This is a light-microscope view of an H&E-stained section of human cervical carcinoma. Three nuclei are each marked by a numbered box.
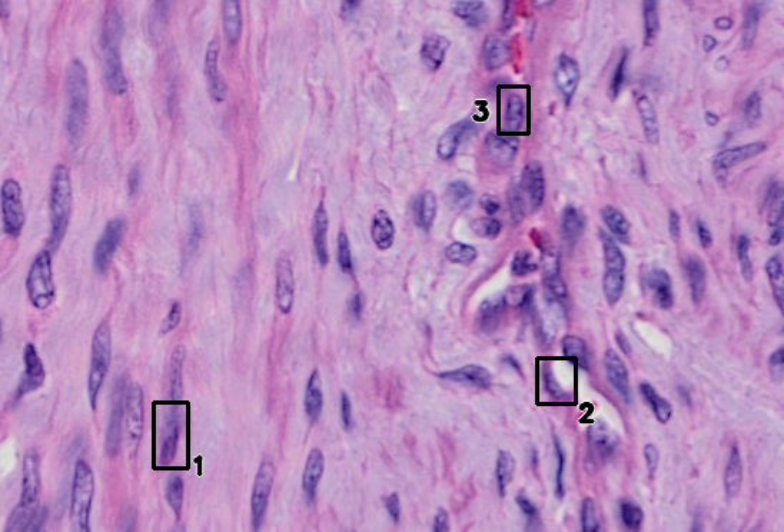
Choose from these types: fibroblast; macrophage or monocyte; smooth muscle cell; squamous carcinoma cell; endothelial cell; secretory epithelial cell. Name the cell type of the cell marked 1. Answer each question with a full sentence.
Here, the cell given the number 1 is a smooth muscle cell.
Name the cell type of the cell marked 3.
To an endothelial cell belongs the nucleus marked 3.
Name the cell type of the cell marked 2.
The marked cell bearing number 2 is an endothelial cell.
